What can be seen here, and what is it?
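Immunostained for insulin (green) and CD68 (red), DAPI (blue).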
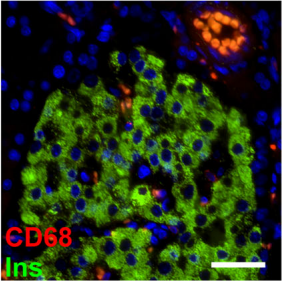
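The cells are polygonal and pressed tightly together into one large, rounded cluster. Red cells are almost absent from within the islet. Around the islet lies tissue with blue nuclei but no green.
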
